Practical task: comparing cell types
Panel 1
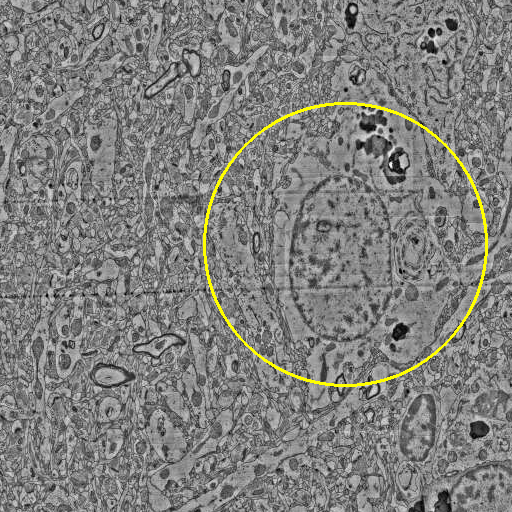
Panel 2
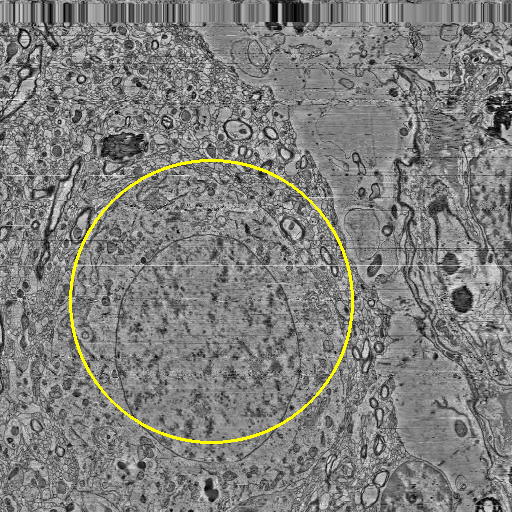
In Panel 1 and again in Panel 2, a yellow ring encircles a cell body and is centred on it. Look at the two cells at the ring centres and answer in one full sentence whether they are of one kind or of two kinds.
The two cells sitting at the ring centres of Panels 1 and 2 are of two kinds.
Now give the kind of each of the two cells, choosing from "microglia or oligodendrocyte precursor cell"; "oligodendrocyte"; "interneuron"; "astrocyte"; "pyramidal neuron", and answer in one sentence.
The cell in the first picture is an astrocyte, and the cell in the second is a pyramidal neuron.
